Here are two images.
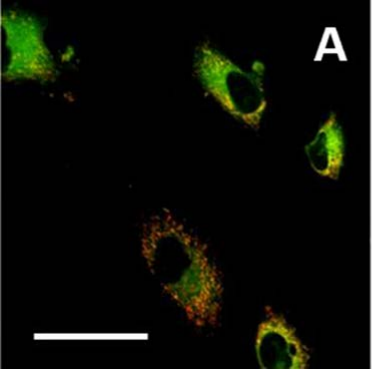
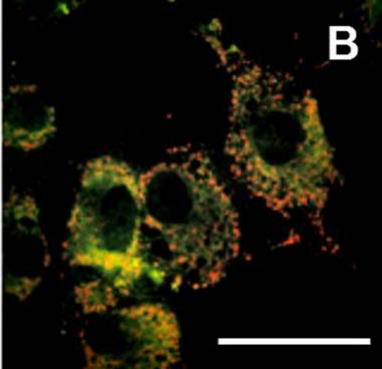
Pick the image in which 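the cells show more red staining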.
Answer: The second image.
